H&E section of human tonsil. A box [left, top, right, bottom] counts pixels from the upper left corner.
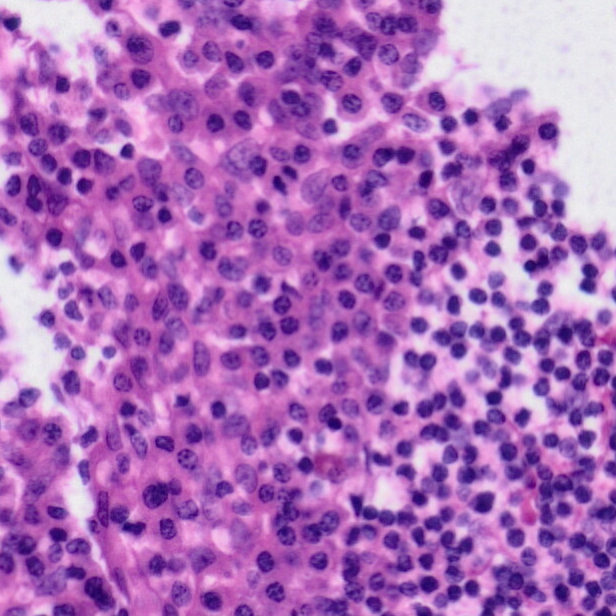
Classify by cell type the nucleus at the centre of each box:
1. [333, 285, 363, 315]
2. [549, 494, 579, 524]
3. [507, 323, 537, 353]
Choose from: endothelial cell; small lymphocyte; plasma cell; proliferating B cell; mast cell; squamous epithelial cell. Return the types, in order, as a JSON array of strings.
["plasma cell", "small lymphocyte", "small lymphocyte"]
